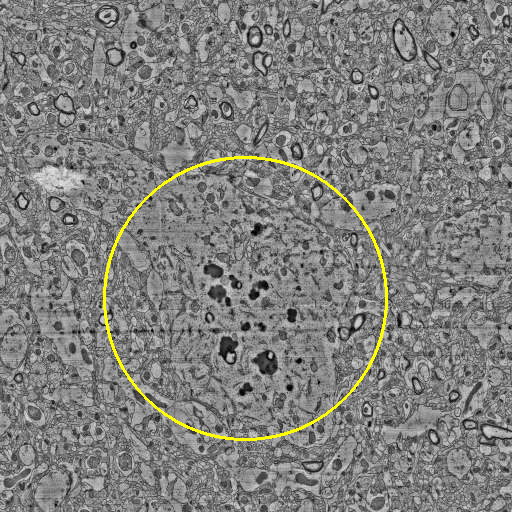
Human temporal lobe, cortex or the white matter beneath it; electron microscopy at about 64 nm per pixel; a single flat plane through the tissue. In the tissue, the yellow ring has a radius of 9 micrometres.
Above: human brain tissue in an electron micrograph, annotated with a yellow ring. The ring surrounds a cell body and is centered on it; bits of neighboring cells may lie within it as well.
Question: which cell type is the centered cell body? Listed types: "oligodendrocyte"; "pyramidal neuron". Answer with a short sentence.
The centered cell body is a pyramidal neuron.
